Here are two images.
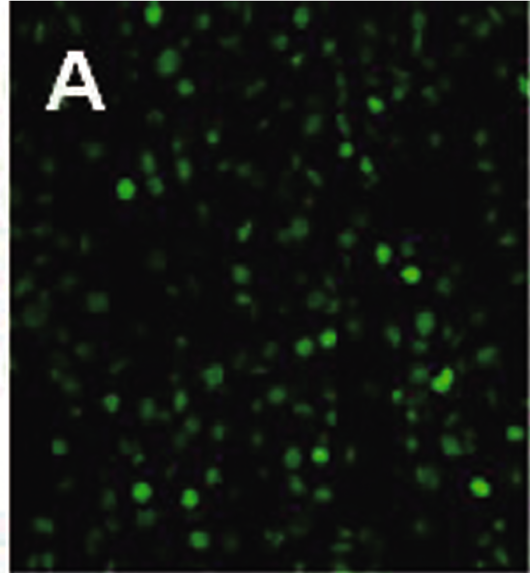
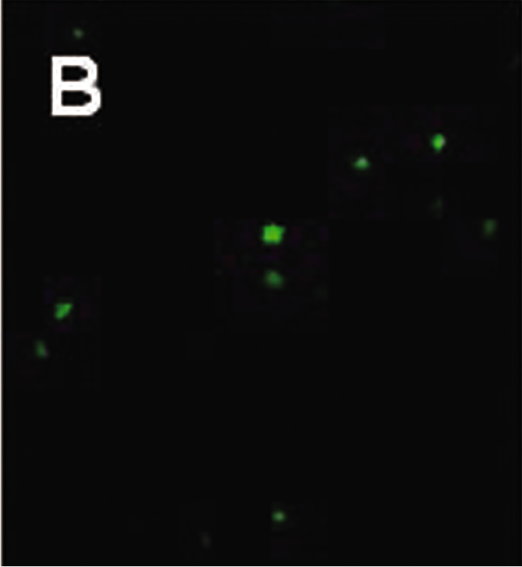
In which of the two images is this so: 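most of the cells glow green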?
the first image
